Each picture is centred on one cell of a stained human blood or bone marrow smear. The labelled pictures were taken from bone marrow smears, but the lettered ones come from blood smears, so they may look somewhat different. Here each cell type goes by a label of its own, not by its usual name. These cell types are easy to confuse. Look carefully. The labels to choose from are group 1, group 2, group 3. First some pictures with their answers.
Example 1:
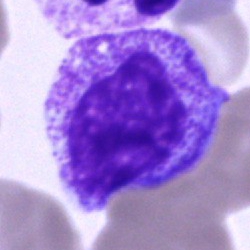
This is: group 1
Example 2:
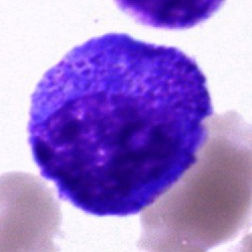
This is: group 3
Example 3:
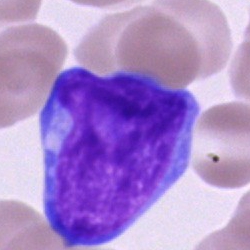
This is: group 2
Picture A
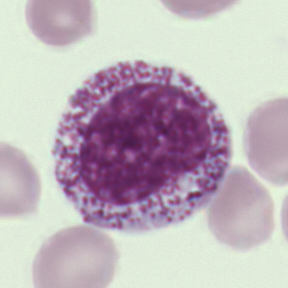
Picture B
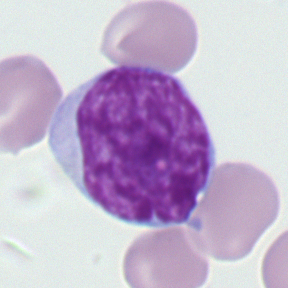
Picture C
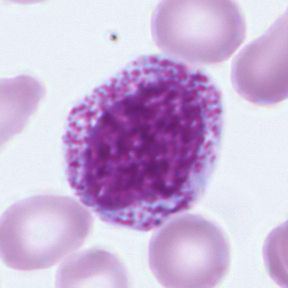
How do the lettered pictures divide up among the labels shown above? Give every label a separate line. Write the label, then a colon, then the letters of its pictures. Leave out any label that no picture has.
group 1: A, C
group 2: B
